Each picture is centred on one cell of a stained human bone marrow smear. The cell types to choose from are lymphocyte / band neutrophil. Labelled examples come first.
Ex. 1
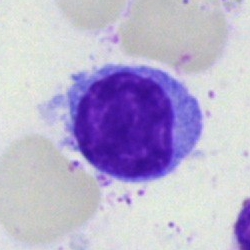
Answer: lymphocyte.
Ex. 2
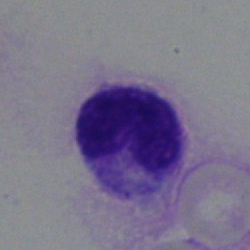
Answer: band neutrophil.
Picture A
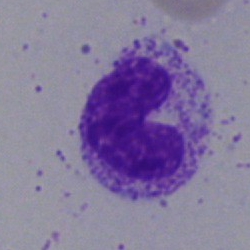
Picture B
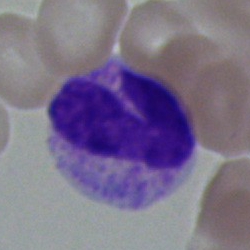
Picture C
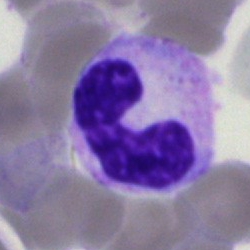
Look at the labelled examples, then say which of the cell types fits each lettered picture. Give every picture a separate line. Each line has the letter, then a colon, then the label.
A: band neutrophil.
B: band neutrophil.
C: band neutrophil.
